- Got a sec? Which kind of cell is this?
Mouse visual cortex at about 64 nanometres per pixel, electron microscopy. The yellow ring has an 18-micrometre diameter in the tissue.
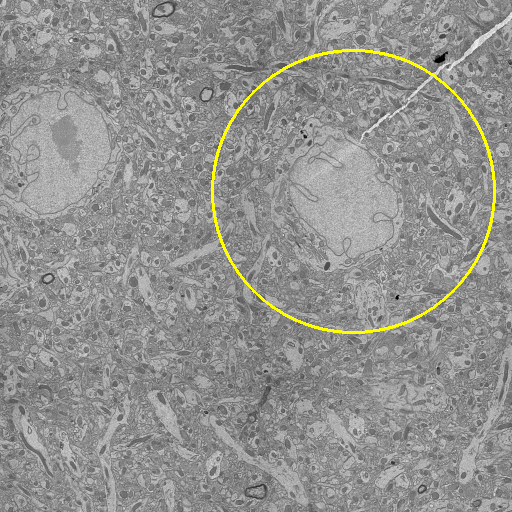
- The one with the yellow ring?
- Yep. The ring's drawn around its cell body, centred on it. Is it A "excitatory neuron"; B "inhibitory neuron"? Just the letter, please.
B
